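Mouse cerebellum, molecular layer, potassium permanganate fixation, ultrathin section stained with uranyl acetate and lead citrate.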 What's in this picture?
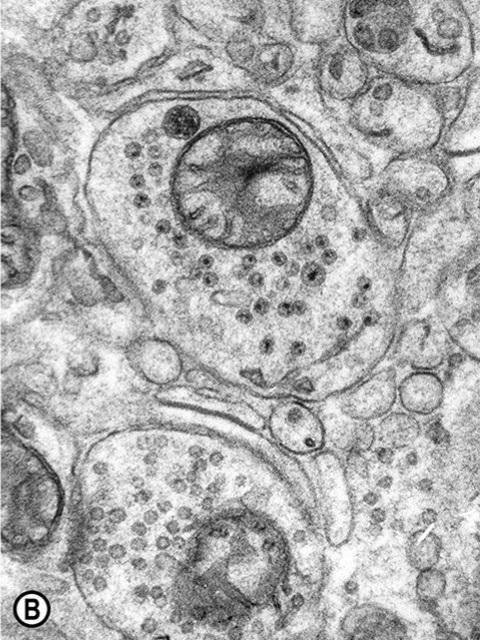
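A rounded, membrane-bound profile in the neuropil holds a large round mitochondrion with clear cristae and many small round vesicles, a good number of them with dark dense cores, and beside the mitochondrion lies one noticeably larger vesicle with a dark core. Around it lie many smaller cut profiles of neuronal processes.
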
